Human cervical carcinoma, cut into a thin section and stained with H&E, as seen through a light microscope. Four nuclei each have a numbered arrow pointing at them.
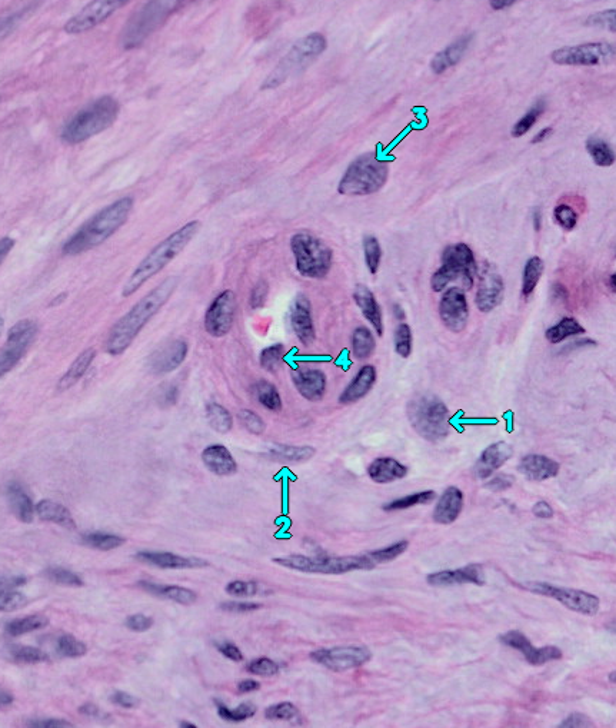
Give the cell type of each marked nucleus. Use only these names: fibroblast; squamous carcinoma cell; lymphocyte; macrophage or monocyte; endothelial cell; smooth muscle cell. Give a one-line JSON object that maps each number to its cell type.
{"1": "fibroblast", "2": "smooth muscle cell", "3": "fibroblast", "4": "endothelial cell"}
